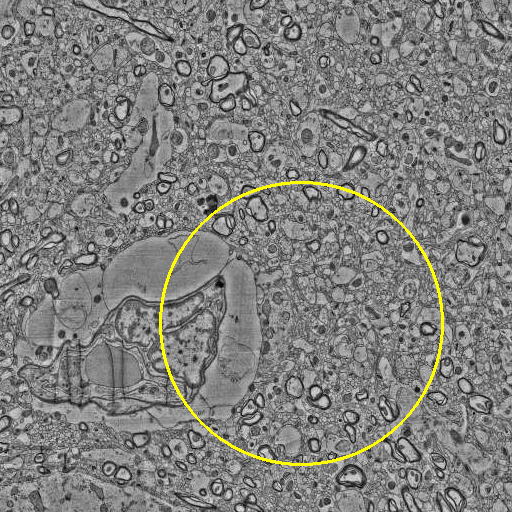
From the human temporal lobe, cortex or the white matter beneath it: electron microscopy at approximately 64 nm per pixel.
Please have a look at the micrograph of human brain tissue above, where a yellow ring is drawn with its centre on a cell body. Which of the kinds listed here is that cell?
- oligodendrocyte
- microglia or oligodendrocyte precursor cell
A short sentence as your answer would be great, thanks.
At the centre of the ring sits an oligodendrocyte.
